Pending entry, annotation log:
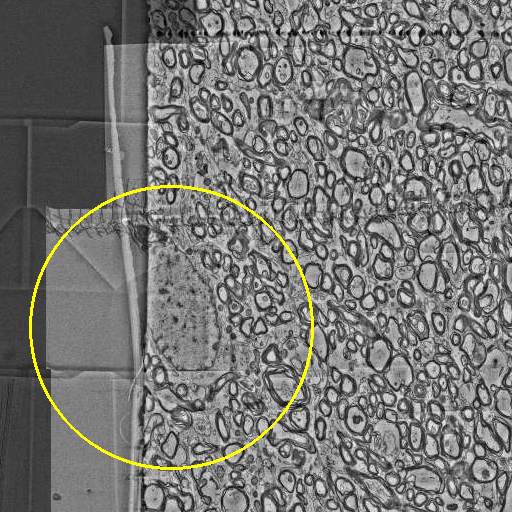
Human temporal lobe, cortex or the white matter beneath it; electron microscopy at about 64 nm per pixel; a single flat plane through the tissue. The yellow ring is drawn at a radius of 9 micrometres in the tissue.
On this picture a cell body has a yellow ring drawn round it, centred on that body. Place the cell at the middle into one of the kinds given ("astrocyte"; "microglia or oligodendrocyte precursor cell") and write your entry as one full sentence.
The cell body at the middle of the yellow ring belongs to an astrocyte.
